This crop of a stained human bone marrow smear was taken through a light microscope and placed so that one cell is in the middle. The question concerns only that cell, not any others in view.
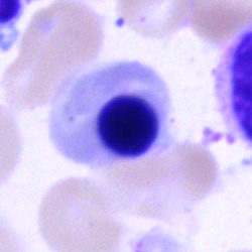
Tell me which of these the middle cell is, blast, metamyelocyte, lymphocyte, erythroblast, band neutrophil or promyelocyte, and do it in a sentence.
The central element of this crop is a cell, namely an erythroblast.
